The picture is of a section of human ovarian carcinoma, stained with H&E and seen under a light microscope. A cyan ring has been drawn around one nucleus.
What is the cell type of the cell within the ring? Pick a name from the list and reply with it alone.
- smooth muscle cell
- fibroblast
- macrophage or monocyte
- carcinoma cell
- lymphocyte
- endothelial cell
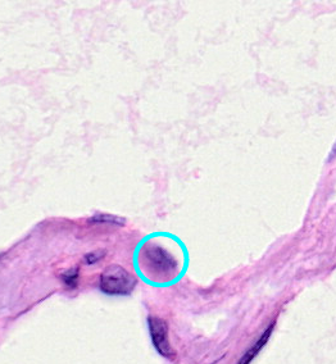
endothelial cell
